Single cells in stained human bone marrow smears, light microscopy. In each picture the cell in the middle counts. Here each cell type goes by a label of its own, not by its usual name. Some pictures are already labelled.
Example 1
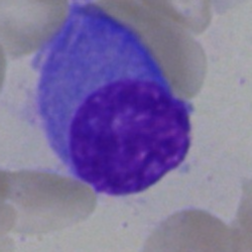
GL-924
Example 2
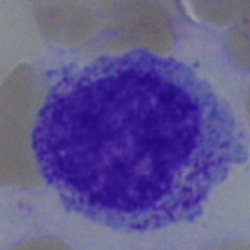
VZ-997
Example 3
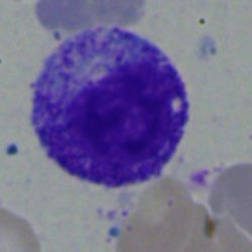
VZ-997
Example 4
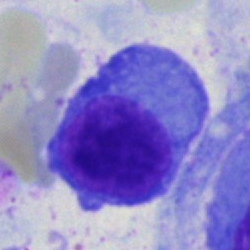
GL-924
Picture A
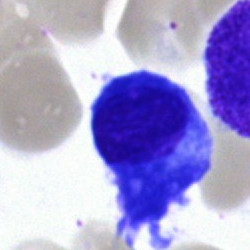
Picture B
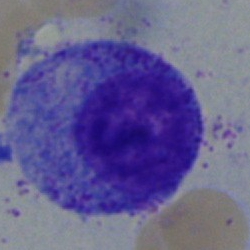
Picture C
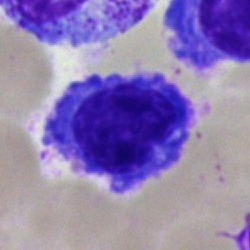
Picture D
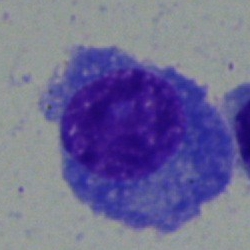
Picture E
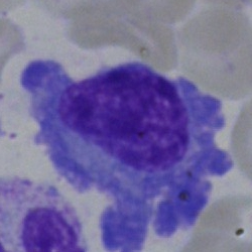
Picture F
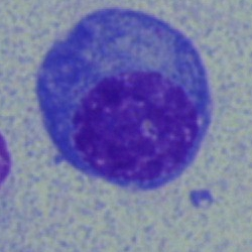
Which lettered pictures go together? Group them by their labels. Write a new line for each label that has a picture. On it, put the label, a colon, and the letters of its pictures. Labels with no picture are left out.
GL-924: A, C, D, E, F
VZ-997: B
